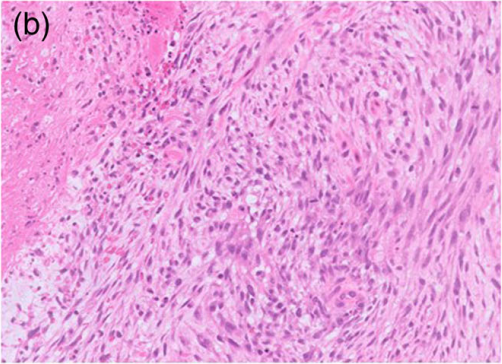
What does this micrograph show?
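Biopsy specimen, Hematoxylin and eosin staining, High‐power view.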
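This is a tumor made of spindle-shaped cells packed closely together and running in bundles that cross and swirl in an intricate pattern. The cytoplasm is pink and drawn out along the length of the cell, with cell borders hard to make out. The nuclei vary somewhat in size and shape from cell to cell. Along one edge the tissue becomes paler and looser, with fewer intact cells.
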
